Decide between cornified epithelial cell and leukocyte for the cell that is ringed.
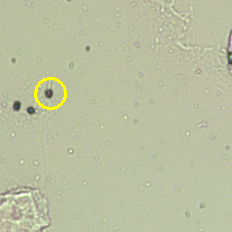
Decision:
I take the ringed cell for a leukocyte.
